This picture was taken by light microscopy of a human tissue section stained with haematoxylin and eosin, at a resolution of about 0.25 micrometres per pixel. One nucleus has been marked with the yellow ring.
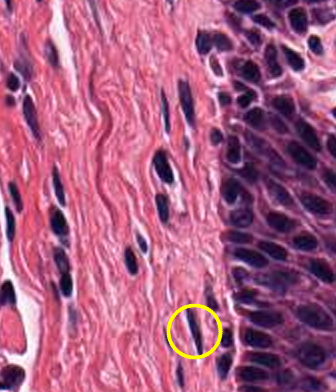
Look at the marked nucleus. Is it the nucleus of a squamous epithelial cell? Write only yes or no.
no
